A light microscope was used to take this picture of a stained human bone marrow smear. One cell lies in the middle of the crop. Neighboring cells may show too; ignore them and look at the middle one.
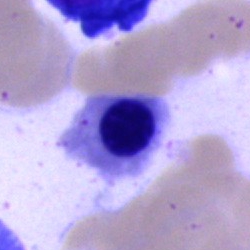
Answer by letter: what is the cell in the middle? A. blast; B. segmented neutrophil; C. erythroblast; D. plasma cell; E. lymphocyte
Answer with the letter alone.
C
